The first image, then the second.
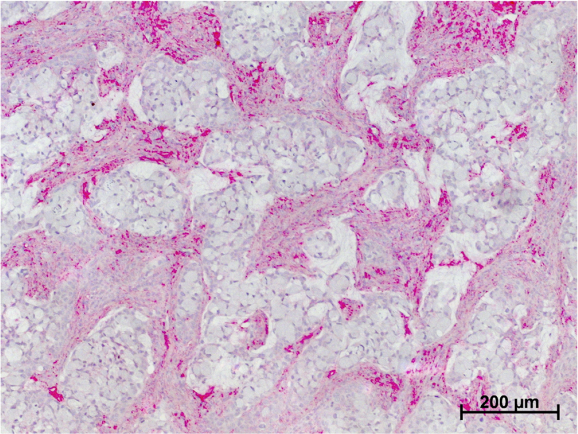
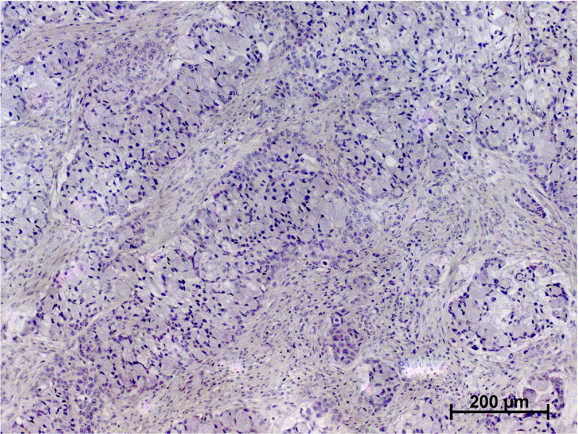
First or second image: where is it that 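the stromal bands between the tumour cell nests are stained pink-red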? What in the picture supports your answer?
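Second image: stroma and tumour nests show only blue counterstain, no pink-red. First image: fibrous bands between the pale nests are strongly pink-red. That points to this answer: the first image.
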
